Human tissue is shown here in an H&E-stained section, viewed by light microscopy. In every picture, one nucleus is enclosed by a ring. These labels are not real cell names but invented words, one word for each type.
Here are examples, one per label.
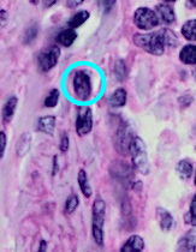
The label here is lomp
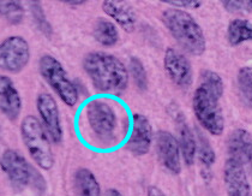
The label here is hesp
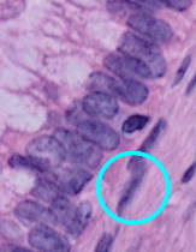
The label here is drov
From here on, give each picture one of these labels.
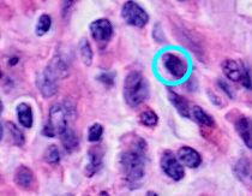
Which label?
lomp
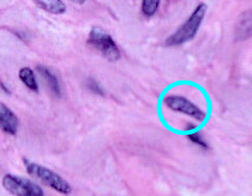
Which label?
drov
